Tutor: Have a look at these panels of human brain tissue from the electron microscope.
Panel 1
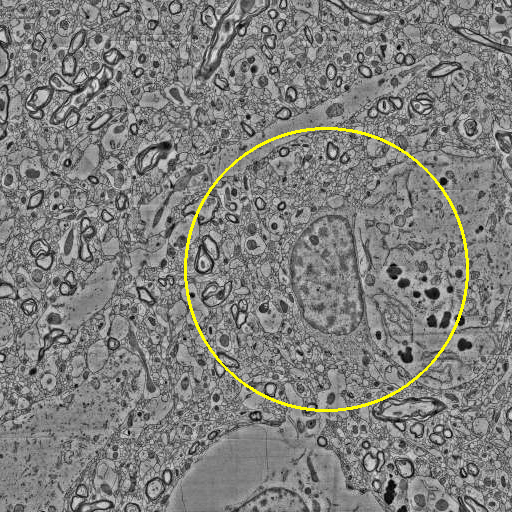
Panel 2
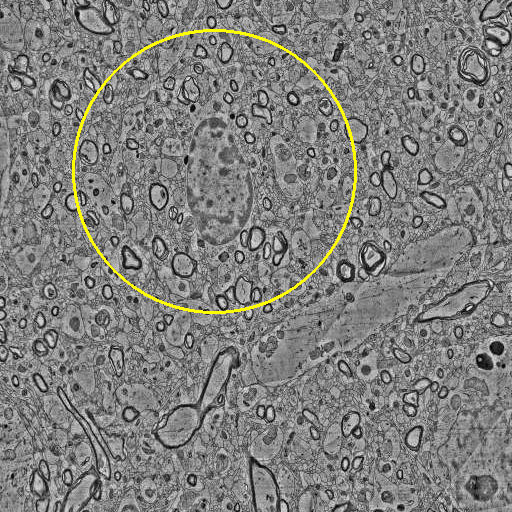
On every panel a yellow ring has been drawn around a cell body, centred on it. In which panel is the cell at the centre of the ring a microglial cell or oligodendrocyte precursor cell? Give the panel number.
2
